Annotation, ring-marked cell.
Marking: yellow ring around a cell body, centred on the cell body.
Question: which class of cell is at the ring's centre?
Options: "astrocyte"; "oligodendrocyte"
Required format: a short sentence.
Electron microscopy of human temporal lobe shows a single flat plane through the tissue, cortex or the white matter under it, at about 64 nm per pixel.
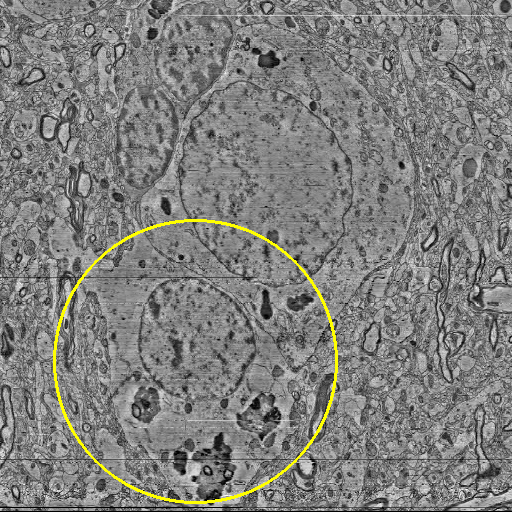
At the ring's centre is an astrocyte.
